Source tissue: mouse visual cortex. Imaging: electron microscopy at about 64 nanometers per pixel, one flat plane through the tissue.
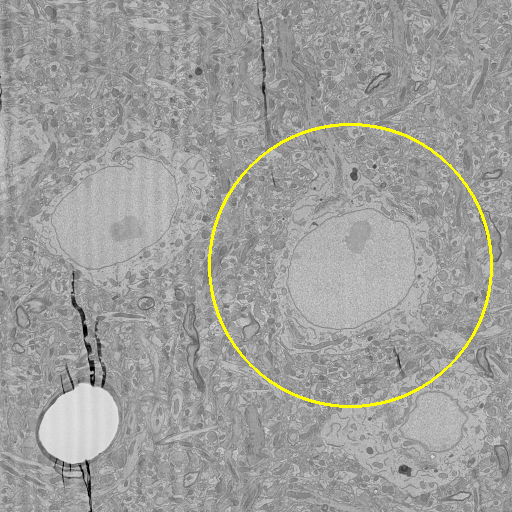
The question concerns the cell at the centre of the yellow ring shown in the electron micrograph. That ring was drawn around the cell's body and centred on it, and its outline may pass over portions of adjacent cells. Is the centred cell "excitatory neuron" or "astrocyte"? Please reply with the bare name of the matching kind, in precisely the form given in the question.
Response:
excitatory neuron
